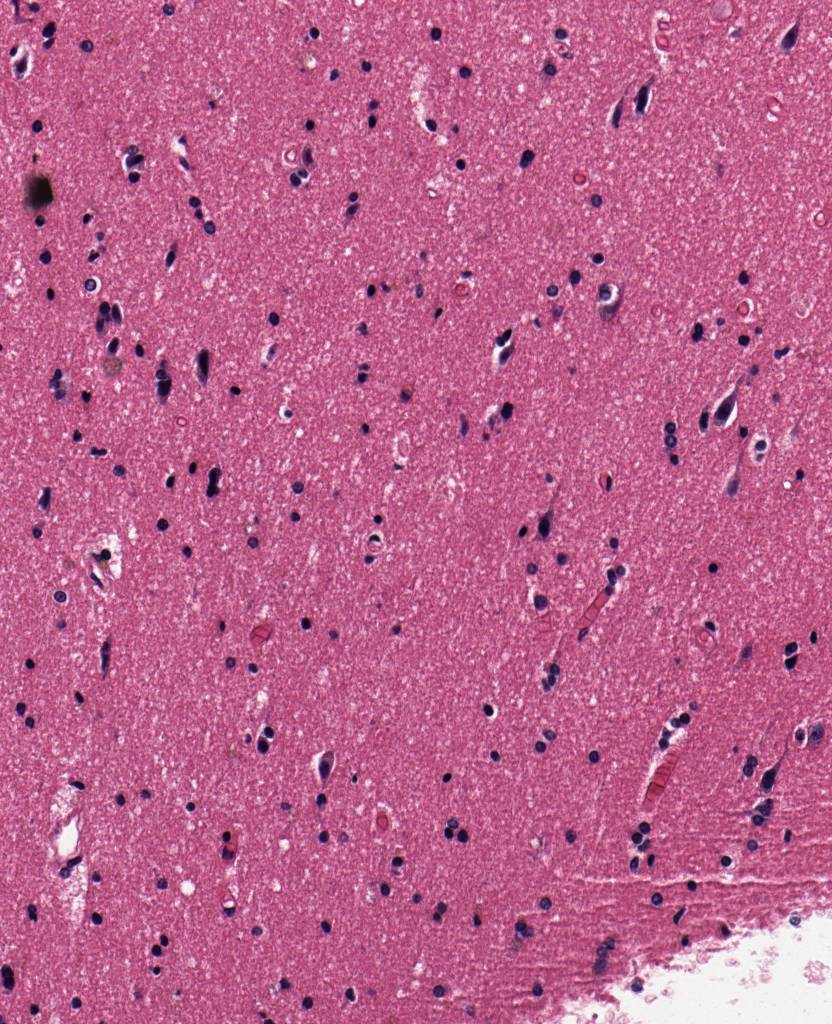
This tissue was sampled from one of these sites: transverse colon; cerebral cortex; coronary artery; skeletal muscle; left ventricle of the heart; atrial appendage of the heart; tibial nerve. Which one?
cerebral cortex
